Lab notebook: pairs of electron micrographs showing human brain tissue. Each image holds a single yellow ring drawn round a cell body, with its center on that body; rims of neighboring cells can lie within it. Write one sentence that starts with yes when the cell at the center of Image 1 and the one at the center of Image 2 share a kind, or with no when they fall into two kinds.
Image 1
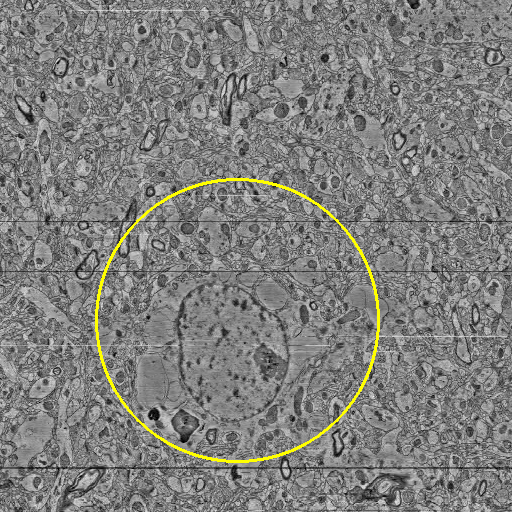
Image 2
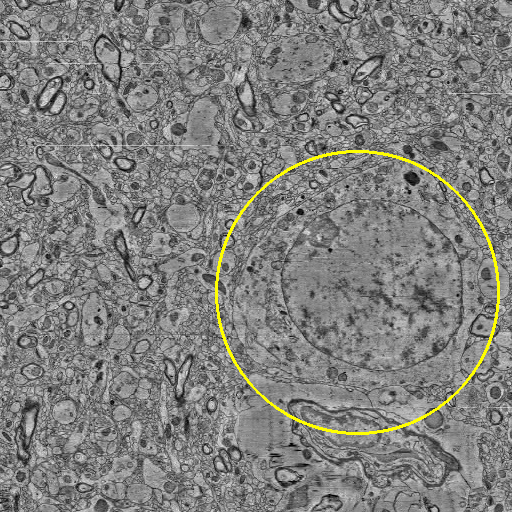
No, the centered cell in Image 1 and the centered cell in Image 2 are of two kinds.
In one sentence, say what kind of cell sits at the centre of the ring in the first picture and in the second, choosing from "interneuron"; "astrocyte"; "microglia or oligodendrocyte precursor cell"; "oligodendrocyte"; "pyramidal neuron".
The first picture's ringed cell is an astrocyte, while the second picture's is a pyramidal neuron.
